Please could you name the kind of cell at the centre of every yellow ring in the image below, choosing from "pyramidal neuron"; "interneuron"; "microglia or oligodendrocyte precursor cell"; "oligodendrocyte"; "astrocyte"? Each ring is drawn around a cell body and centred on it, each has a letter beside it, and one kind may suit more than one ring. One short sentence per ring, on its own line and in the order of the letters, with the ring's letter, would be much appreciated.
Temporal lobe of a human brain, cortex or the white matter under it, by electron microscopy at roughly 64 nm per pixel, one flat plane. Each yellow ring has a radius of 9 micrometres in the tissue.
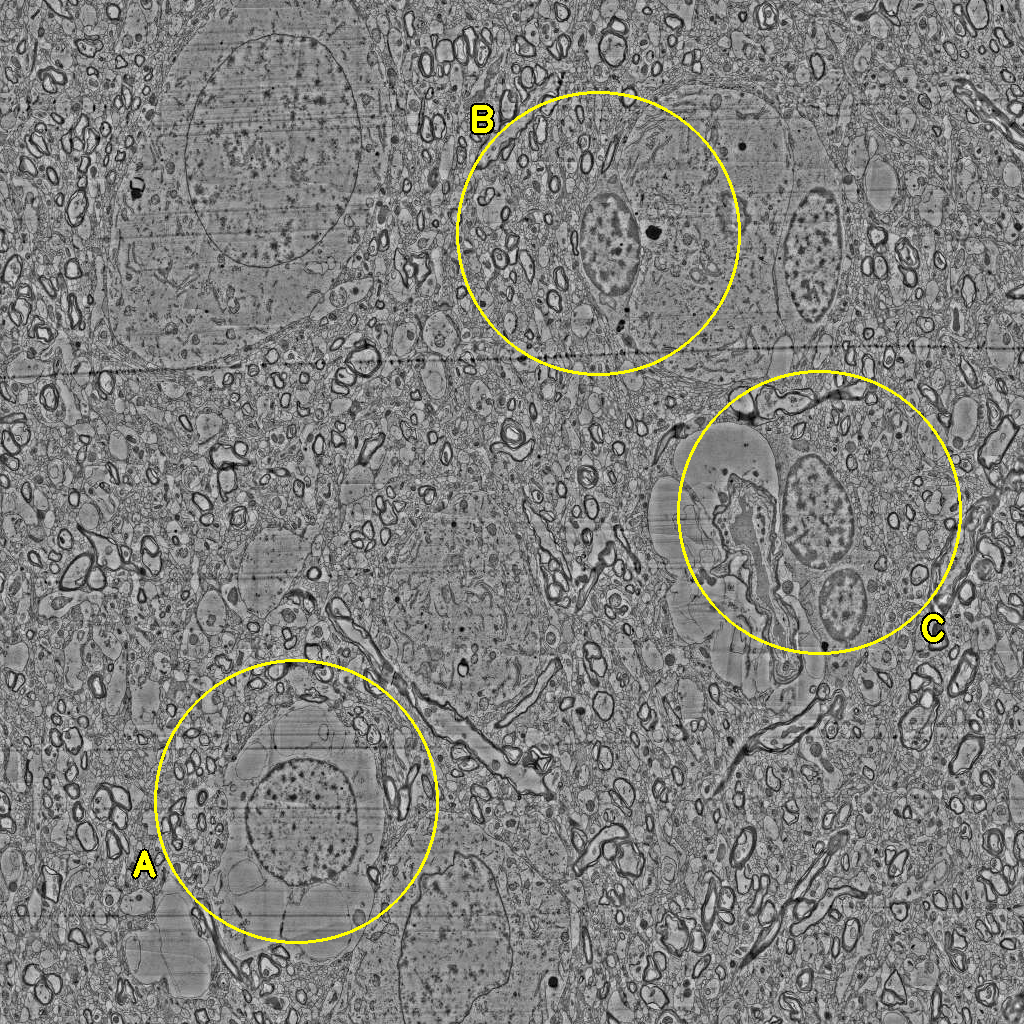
The cell in the middle of ring A is an astrocyte.
The cell in the middle of ring B is an oligodendrocyte.
The cell in the middle of ring C is an oligodendrocyte.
